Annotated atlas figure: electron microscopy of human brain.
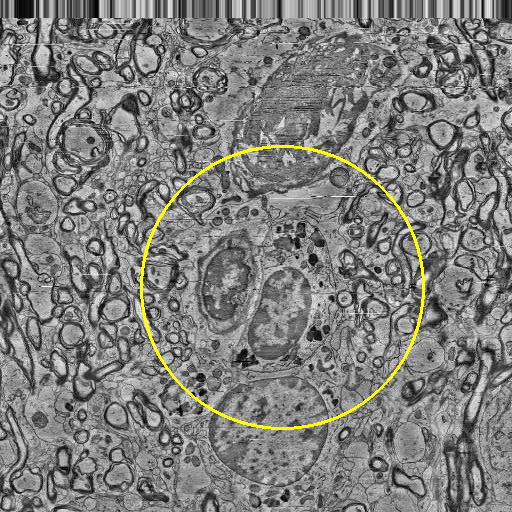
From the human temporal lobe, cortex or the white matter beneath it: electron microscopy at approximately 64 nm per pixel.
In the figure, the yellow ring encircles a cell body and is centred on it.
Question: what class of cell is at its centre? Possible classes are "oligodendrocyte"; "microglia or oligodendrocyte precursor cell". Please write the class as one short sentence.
The yellow ring is drawn around a microglial cell or oligodendrocyte precursor cell.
